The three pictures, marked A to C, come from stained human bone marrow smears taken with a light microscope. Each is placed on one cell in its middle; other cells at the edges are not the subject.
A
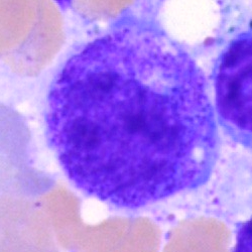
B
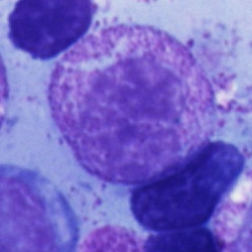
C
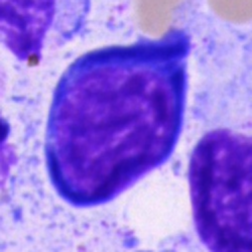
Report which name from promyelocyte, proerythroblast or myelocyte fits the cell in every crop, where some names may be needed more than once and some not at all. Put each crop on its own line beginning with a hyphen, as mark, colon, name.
- A: promyelocyte
- B: myelocyte
- C: proerythroblast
